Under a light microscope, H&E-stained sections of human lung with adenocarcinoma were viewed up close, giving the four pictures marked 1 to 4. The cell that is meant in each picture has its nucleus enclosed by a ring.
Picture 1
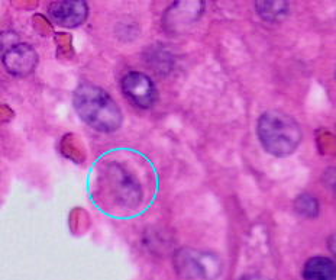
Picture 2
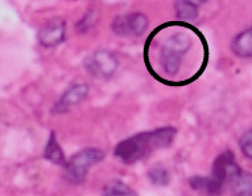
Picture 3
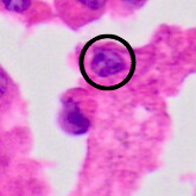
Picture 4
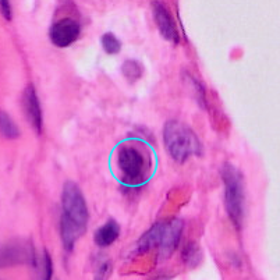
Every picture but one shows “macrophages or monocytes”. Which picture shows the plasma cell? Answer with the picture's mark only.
4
